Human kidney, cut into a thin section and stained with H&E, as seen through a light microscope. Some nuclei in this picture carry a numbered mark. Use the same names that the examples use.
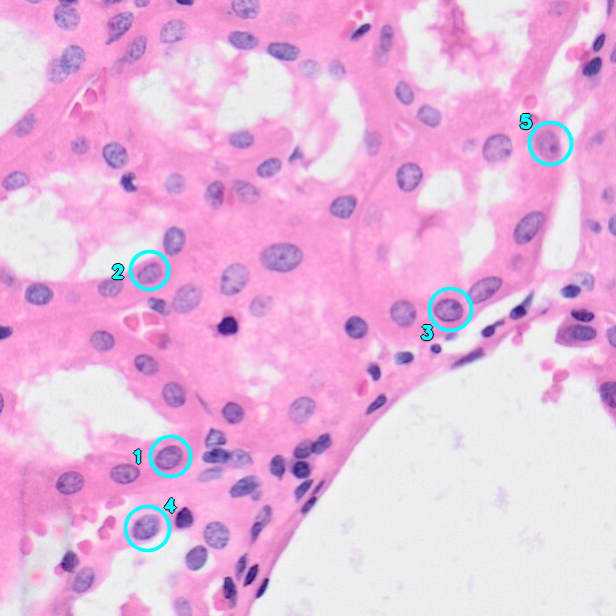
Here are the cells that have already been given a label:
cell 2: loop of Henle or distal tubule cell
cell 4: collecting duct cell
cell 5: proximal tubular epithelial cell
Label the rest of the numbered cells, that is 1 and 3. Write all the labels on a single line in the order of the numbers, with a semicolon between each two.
proximal tubular epithelial cell; proximal tubular epithelial cell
